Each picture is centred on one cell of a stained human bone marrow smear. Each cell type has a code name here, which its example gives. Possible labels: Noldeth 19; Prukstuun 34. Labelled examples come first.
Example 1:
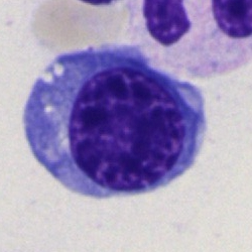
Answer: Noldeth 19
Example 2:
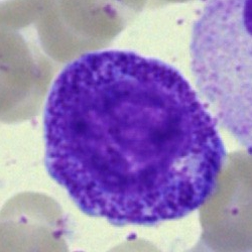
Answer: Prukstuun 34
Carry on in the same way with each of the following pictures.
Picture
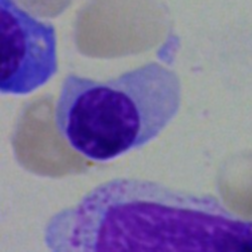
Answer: Noldeth 19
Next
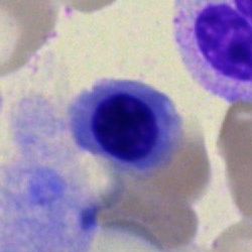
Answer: Noldeth 19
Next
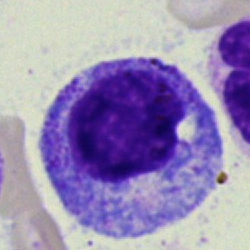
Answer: Prukstuun 34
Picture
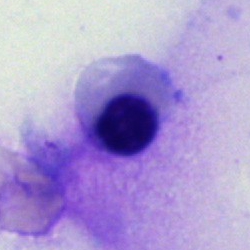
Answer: Noldeth 19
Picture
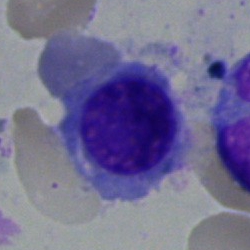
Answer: Noldeth 19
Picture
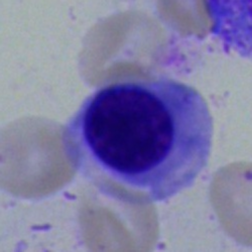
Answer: Noldeth 19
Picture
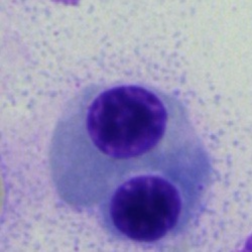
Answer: Noldeth 19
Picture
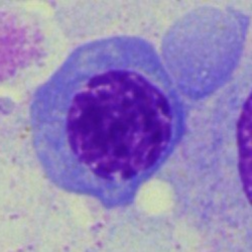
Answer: Noldeth 19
